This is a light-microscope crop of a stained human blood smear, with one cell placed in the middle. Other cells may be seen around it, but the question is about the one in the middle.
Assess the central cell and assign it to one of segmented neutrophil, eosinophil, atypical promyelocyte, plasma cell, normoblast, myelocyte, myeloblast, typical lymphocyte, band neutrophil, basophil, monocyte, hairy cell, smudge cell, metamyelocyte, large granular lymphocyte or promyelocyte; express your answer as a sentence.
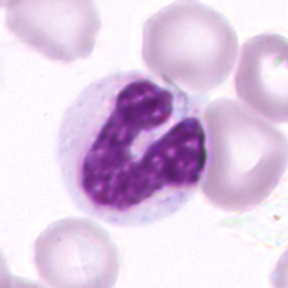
The centrally positioned cell in the crop represents a band neutrophil.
